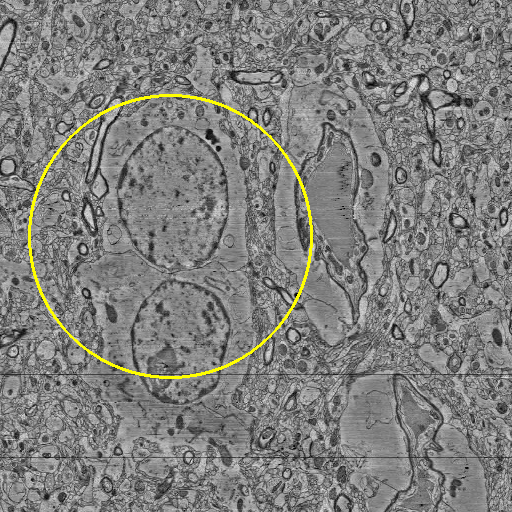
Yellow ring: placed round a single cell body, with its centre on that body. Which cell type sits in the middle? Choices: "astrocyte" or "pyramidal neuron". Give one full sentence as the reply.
It is an astrocyte whose cell body sits at the centre of the yellow ring.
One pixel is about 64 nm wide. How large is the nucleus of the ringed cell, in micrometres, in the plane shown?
Roughly 10 by 7 micrometres is the size of the nucleus in this plane.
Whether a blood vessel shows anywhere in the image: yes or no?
Yes, the picture includes a blood vessel.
